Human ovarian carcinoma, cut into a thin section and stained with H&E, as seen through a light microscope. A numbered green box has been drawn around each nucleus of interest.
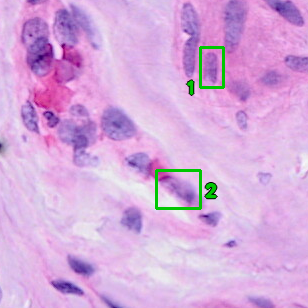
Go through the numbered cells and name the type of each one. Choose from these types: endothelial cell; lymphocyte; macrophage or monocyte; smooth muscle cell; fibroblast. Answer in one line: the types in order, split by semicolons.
smooth muscle cell; endothelial cell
